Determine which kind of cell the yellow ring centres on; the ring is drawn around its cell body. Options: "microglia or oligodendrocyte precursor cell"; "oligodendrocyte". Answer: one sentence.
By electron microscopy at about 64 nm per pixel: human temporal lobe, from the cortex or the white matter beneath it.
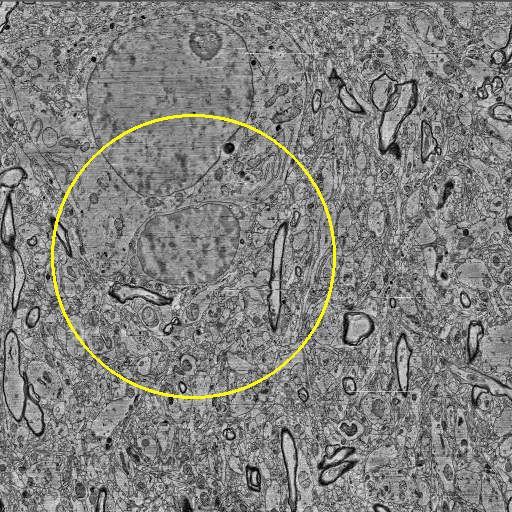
The ring centres on an oligodendrocyte.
